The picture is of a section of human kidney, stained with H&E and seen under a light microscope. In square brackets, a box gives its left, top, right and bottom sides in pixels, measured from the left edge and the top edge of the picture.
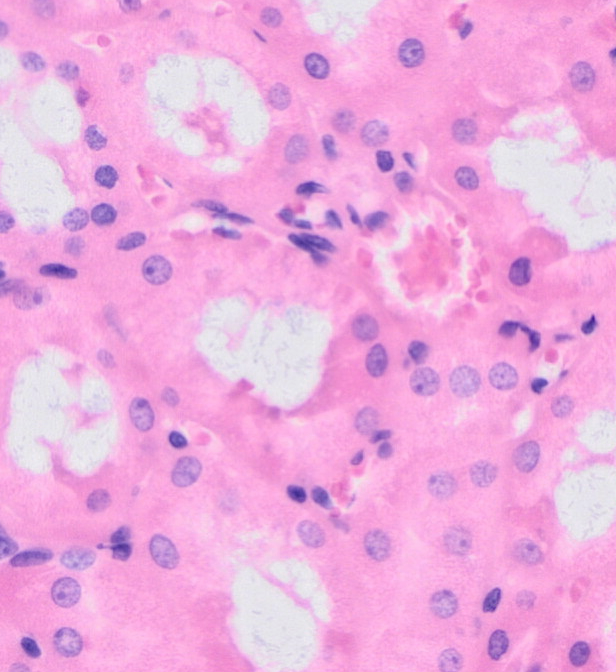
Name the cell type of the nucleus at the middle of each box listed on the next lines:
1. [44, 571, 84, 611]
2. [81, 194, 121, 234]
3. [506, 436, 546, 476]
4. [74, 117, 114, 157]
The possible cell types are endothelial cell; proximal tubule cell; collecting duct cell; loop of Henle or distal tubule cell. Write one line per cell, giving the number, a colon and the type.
1: proximal tubule cell
2: loop of Henle or distal tubule cell
3: proximal tubule cell
4: loop of Henle or distal tubule cell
